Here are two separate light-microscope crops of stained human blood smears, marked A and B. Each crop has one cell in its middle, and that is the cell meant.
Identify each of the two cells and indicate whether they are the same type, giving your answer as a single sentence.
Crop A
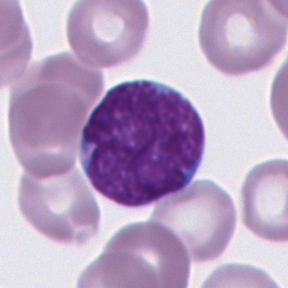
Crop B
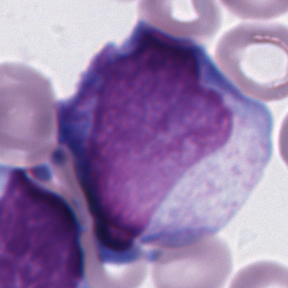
No, crop A shows a myeloblast, with a promyelocyte shown in crop B.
